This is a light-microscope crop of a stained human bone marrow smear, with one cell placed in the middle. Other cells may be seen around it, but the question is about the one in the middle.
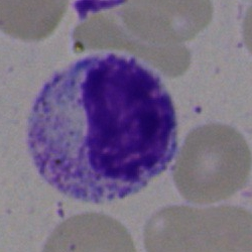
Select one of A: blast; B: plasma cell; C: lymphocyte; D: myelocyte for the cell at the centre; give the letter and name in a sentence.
The cell occupying the centre is a myelocyte; option D is thus the correct choice.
